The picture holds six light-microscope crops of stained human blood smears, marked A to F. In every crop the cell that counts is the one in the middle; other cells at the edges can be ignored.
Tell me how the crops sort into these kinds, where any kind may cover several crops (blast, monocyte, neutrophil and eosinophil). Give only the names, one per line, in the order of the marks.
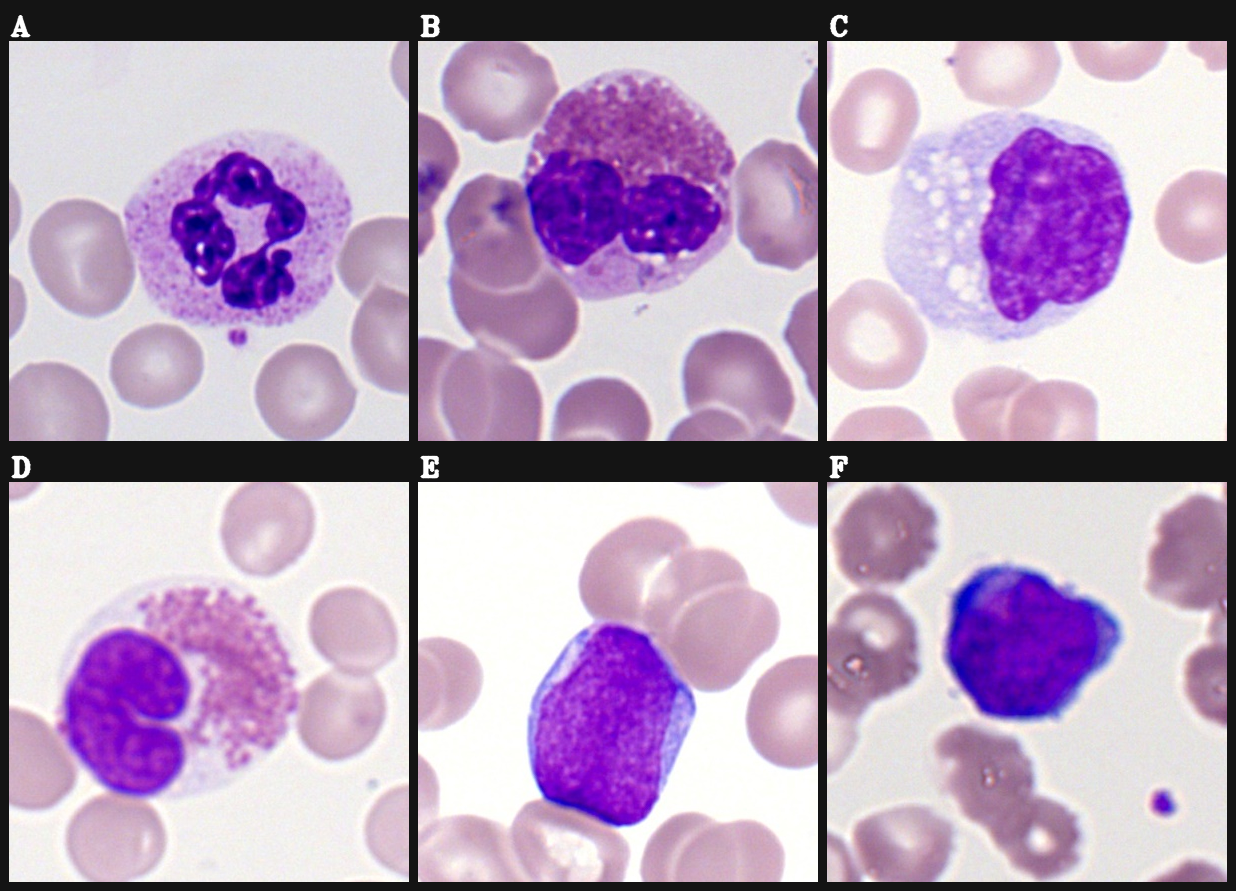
neutrophil
eosinophil
monocyte
eosinophil
blast
blast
